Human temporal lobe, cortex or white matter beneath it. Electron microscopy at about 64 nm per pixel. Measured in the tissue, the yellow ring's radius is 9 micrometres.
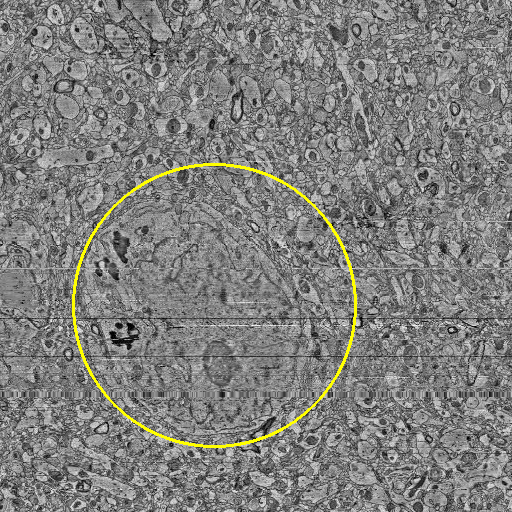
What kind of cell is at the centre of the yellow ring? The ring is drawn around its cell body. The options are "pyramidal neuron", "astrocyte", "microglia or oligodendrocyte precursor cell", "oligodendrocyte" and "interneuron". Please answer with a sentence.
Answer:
The yellow ring marks the cell body of an interneuron.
